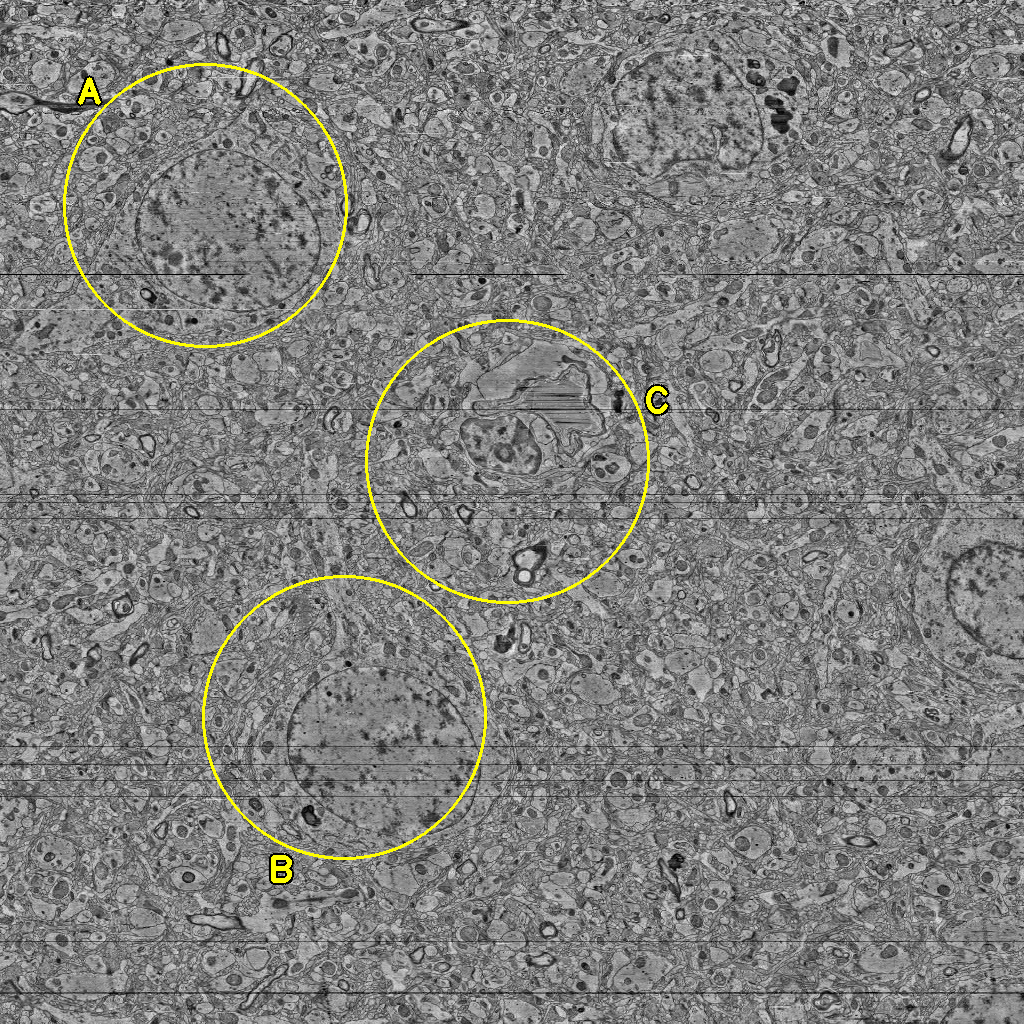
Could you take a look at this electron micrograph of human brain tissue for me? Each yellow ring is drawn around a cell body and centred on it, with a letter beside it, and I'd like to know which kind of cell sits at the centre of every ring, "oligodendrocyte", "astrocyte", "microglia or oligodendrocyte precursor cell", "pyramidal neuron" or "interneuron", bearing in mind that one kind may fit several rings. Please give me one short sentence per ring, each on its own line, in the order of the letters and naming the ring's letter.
Ring A is centred on a pyramidal neuron.
Ring B is centred on a pyramidal neuron.
Ring C is centred on a microglial cell or oligodendrocyte precursor cell.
